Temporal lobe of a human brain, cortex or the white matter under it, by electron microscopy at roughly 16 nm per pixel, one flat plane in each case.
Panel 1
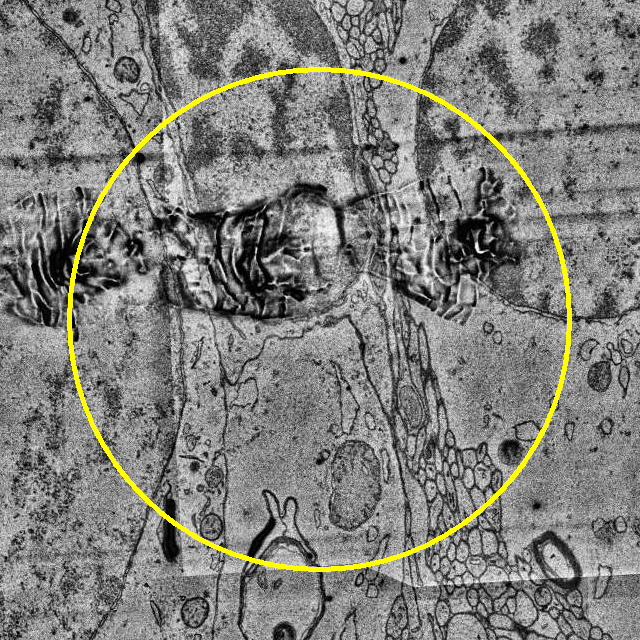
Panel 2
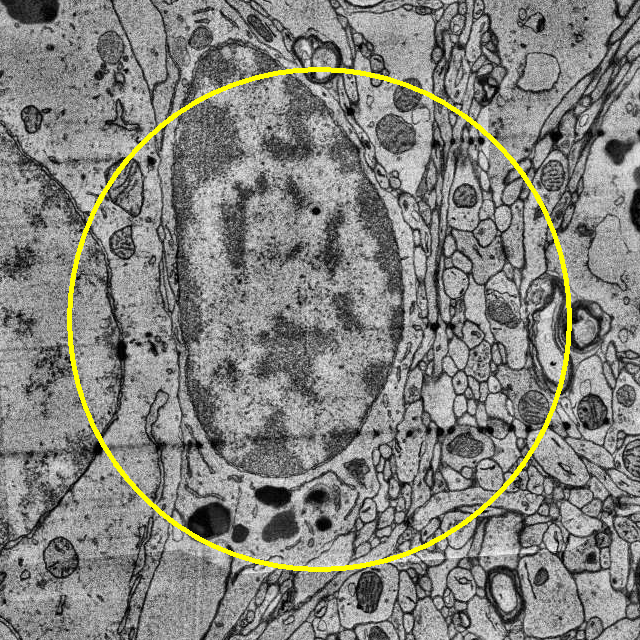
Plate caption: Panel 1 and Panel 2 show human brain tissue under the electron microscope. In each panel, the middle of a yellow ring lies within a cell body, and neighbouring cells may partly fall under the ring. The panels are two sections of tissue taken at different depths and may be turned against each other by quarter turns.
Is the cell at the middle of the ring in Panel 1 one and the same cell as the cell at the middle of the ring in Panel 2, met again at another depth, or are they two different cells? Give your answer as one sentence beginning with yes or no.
Yes, the same cell has been marked in both yellow rings.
